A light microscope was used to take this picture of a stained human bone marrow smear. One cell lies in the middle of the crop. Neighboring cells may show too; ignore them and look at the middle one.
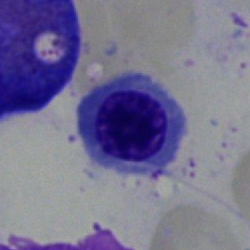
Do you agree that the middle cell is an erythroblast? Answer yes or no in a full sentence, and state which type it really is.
Yes, an erythroblast is present in the middle of the crop.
